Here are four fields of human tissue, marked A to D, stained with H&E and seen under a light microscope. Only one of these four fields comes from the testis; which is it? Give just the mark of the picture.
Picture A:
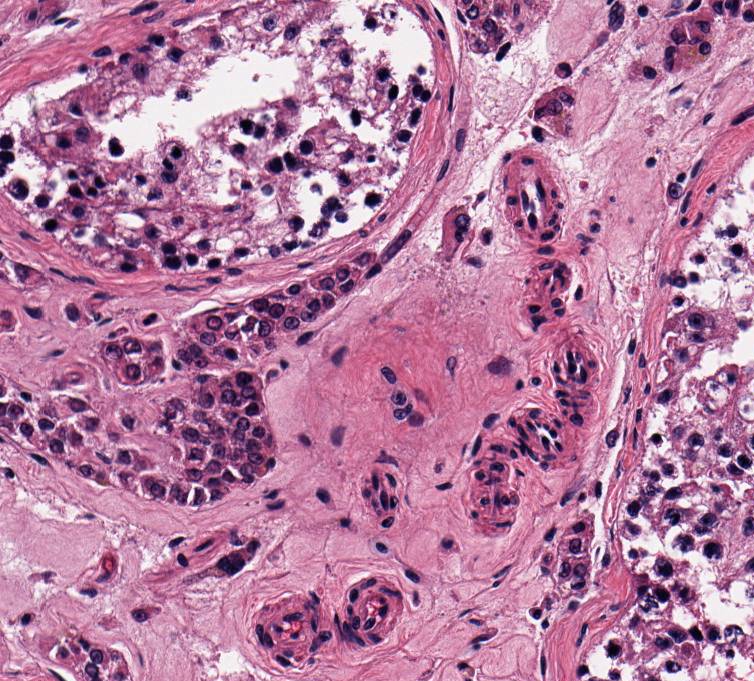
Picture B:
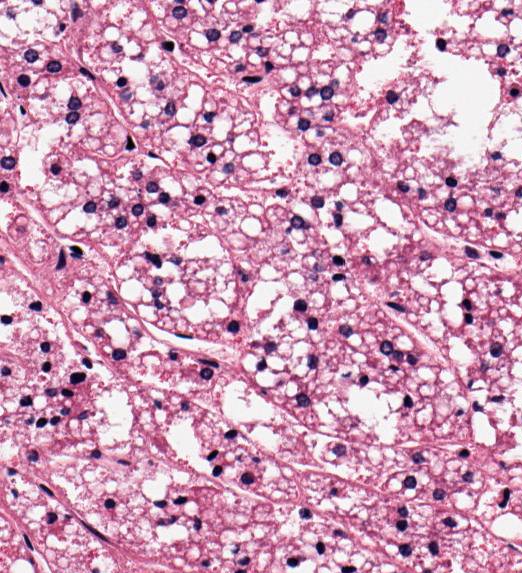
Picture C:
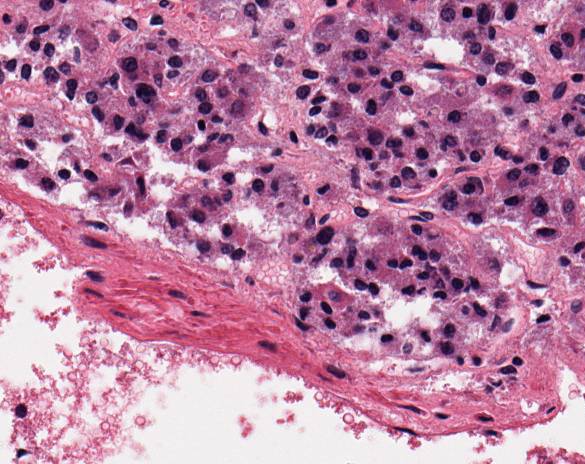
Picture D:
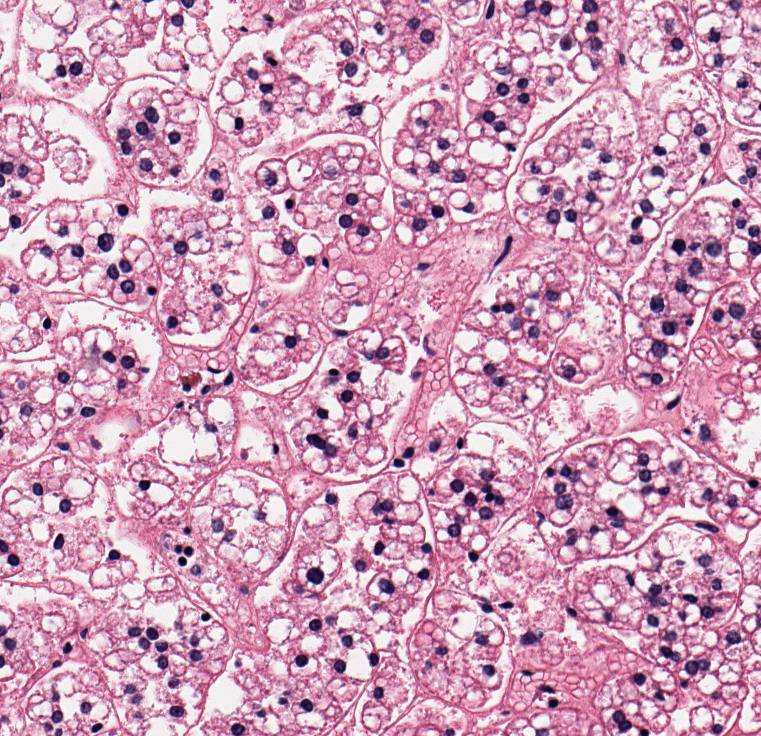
A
